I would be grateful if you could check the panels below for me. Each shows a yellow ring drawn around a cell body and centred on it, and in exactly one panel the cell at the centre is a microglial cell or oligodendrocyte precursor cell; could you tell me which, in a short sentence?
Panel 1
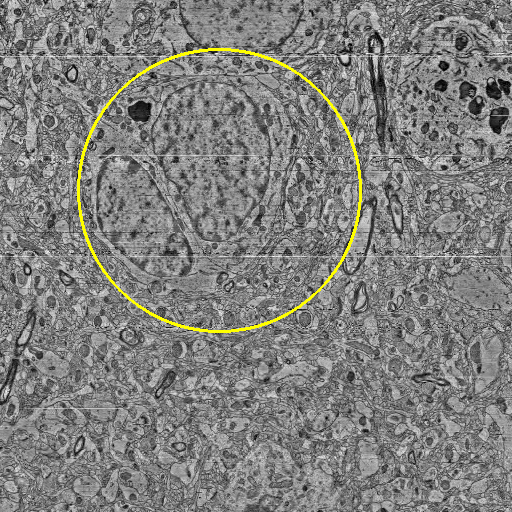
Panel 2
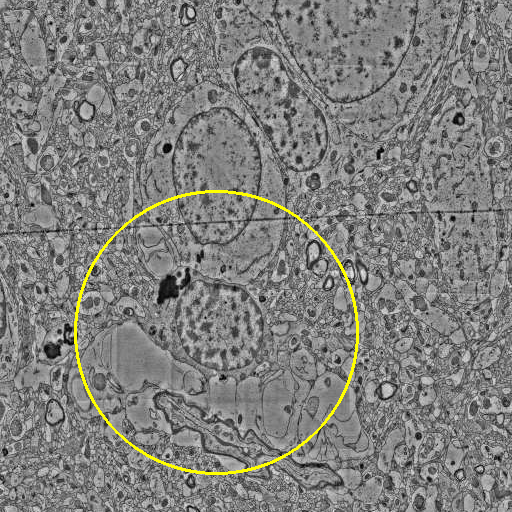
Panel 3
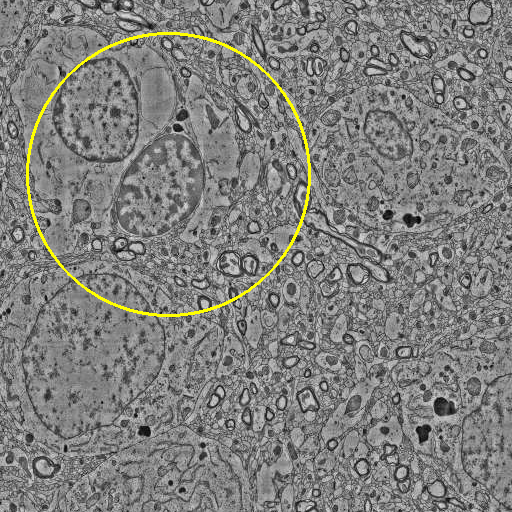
The ring in Panel 3 is centred on it.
